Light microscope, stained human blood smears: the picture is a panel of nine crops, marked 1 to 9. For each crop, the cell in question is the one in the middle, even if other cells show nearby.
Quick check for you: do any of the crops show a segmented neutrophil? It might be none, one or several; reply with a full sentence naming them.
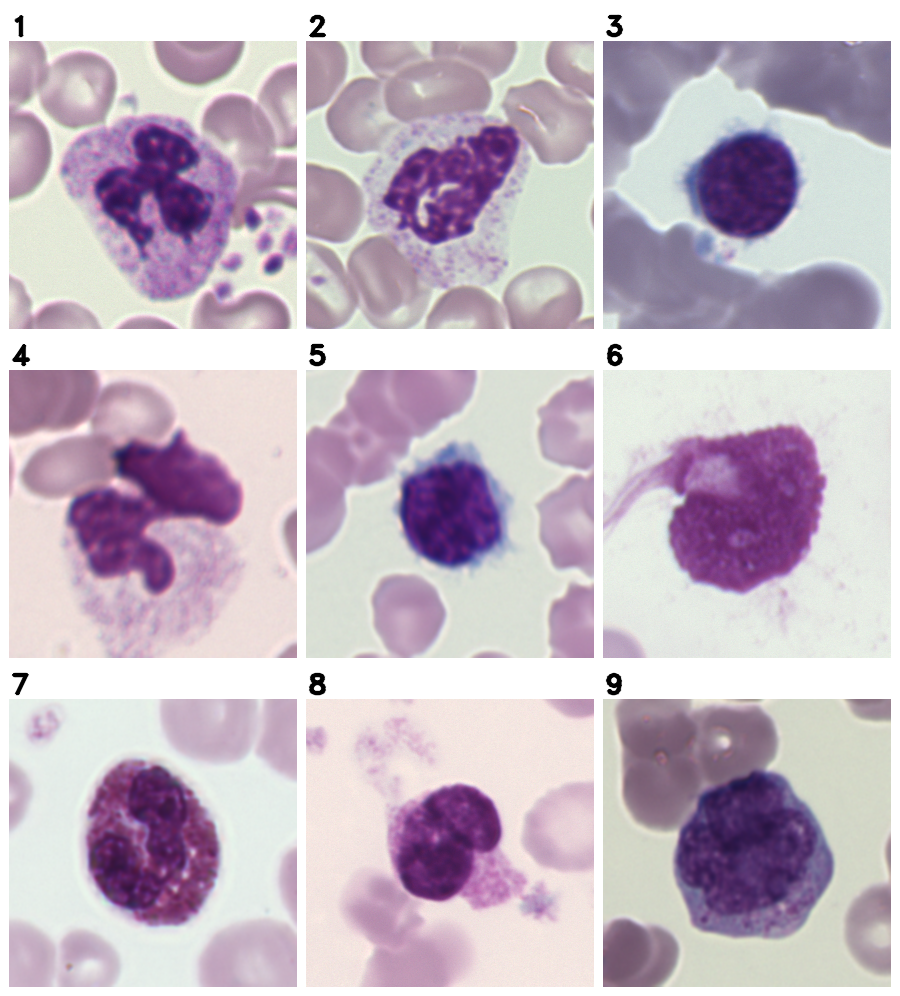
The cells centred in crops 1, 2, 4 and 8 are segmented neutrophils.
